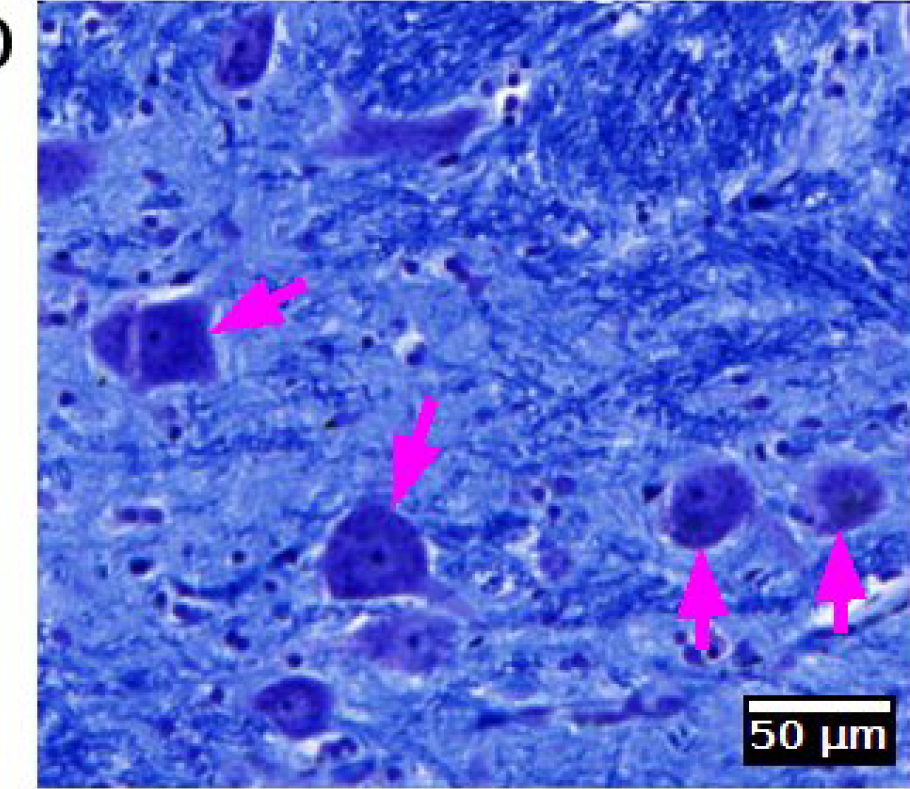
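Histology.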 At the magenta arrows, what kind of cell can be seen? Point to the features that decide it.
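Large polygonal cell bodies with purple cytoplasm. The marked cells are much larger than the many small dark nuclei around them. That points to this answer: neurons.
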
